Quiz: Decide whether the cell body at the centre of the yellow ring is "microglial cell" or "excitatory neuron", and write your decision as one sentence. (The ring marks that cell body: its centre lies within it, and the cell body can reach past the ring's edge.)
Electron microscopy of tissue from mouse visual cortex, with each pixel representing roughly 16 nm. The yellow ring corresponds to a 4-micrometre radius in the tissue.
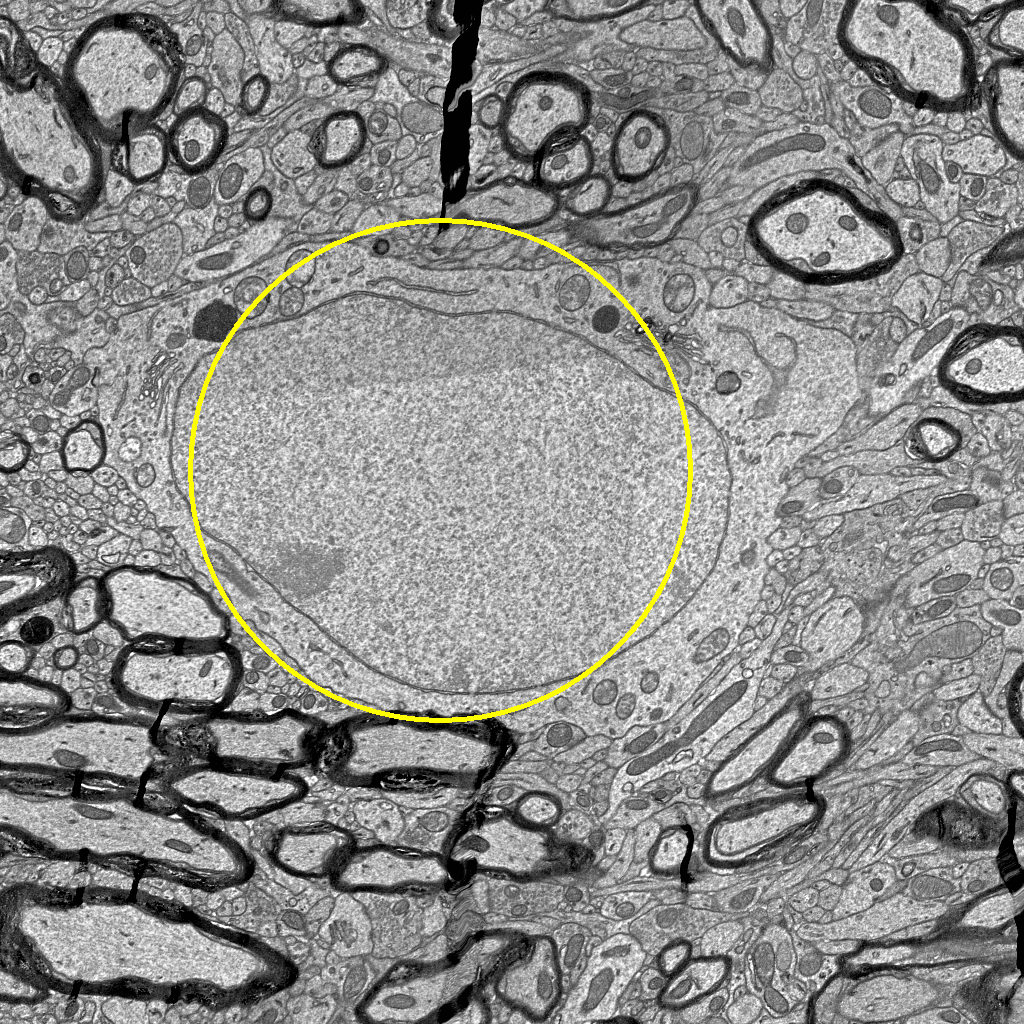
The cell holding the ring's centre is an excitatory neuron.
